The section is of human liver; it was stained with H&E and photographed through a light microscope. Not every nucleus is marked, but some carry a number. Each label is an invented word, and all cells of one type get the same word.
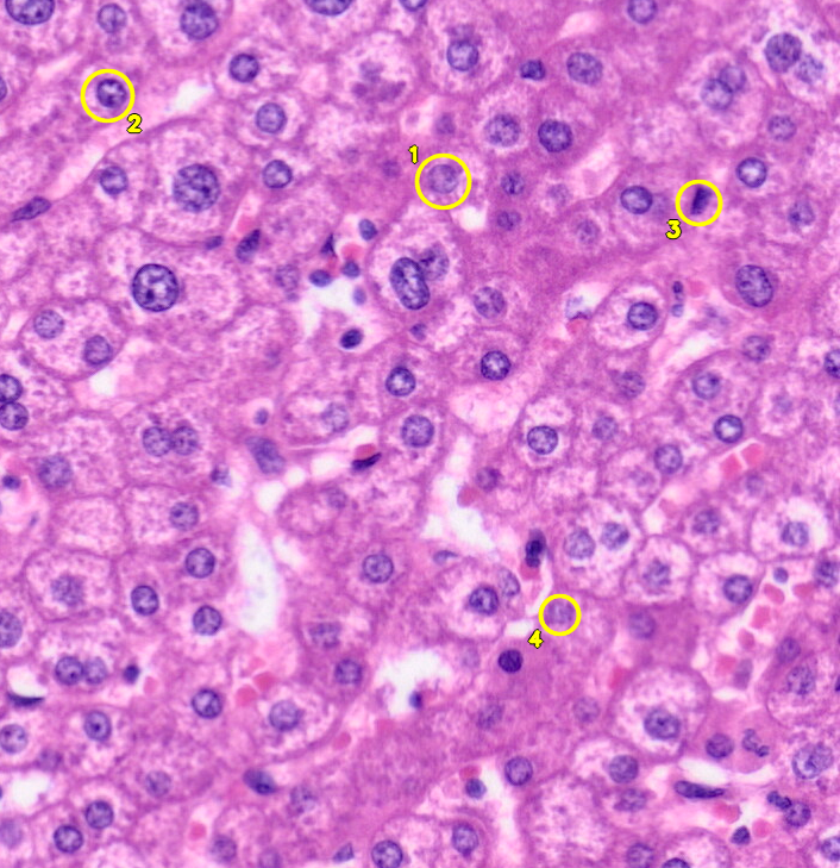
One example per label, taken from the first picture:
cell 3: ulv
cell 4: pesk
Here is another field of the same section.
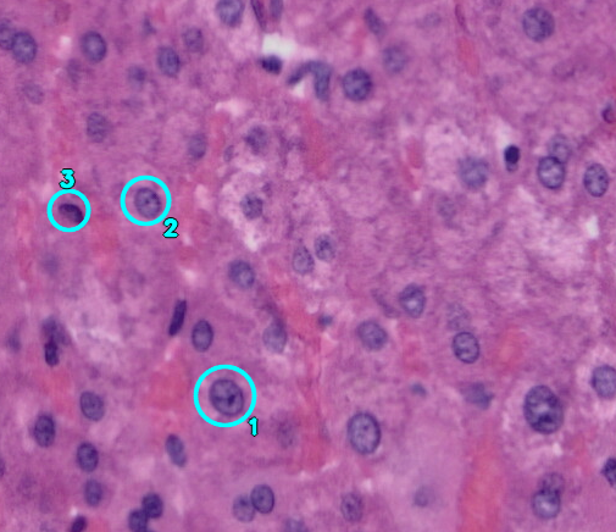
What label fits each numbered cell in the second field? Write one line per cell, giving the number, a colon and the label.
1: pesk
2: pesk
3: ulv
